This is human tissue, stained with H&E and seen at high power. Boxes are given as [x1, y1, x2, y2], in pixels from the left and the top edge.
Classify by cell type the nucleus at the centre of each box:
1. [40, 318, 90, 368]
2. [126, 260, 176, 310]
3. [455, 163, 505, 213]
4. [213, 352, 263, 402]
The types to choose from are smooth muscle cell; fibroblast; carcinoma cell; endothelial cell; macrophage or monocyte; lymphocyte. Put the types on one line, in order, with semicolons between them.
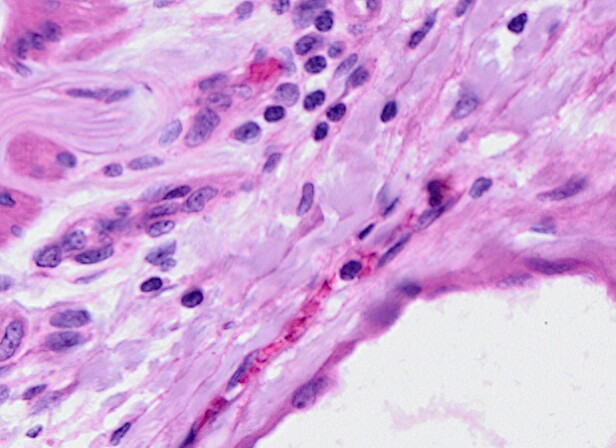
fibroblast; lymphocyte; lymphocyte; endothelial cell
